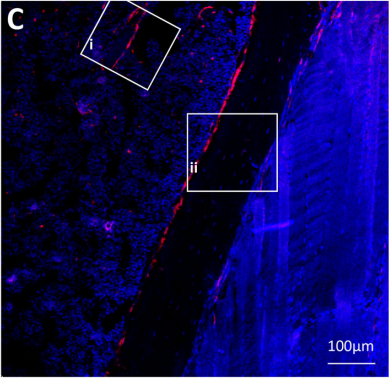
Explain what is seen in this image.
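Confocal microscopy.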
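A diagonal band of cortical bone separates marrow on the left from muscle-like tissue with faint striations on the right. The marrow is densely filled with small blue nuclei. The bone band itself is dark with few nuclei.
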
